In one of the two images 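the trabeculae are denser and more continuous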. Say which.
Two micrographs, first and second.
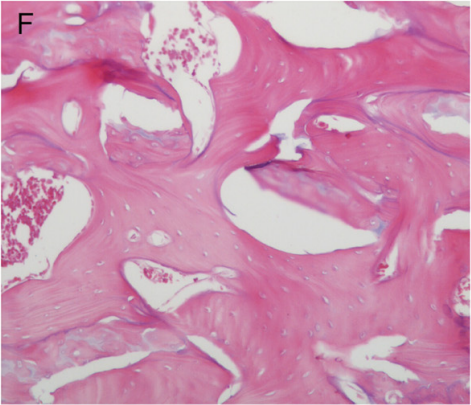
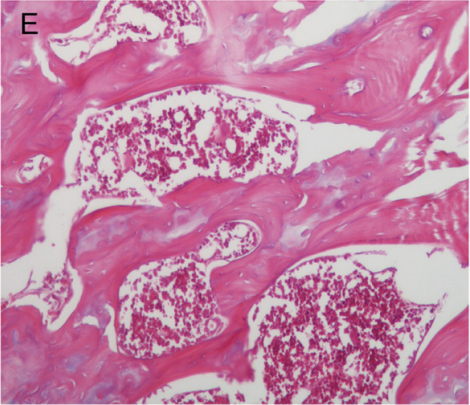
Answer: the first image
